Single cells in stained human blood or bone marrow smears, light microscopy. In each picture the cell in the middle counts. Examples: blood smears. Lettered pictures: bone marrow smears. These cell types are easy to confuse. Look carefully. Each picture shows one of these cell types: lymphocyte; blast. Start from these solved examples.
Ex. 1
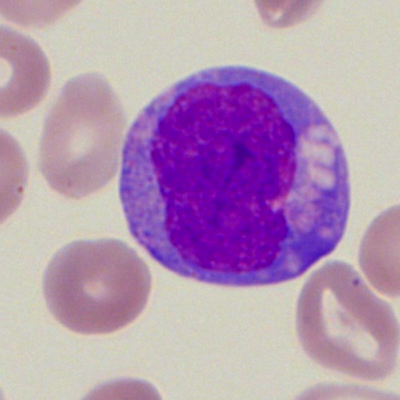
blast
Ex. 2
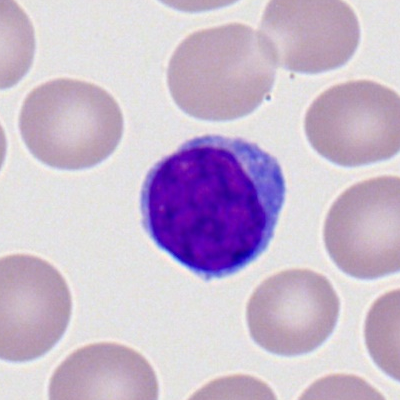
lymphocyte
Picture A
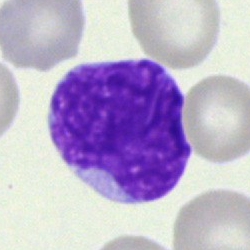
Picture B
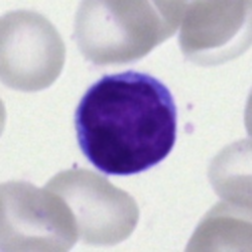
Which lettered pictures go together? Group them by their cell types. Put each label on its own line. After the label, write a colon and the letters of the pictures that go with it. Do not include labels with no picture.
lymphocyte: B
blast: A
